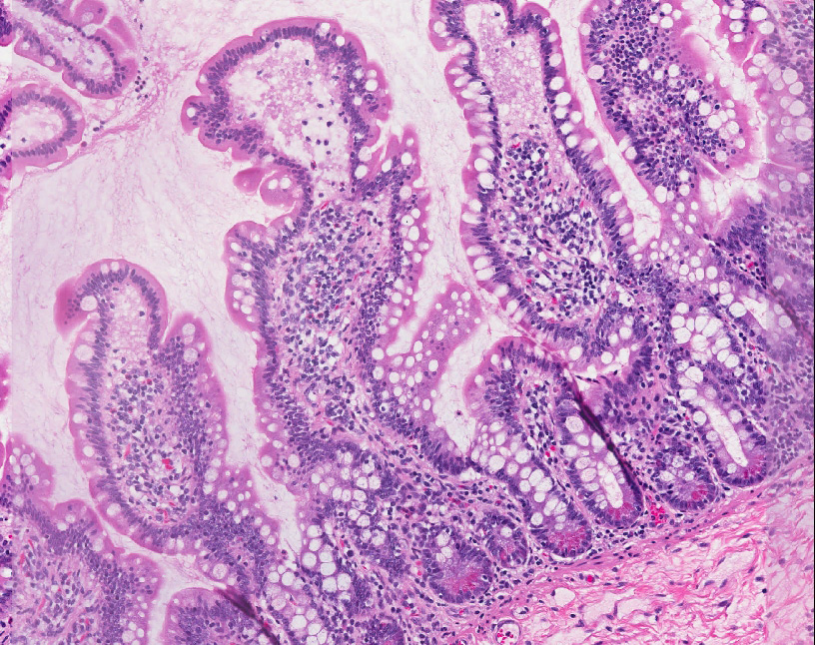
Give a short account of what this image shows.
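Small intestinal mucosa with long, finger-like villi projecting into the lumen and tubular crypts at the base. The villi are covered by a single layer of tall columnar enterocytes with elongated, basally placed purple nuclei and a thin pink luminal border. Numerous goblet cells with rounded, clear, pale apical cups are interspersed singly among them. The villous cores contain loose connective tissue packed with small round dark nuclei of inflammatory and stromal cells and scattered red blood cells. At the lower right, crypts rest on pink, fibrous tissue below the mucosa. Pale, wispy material lies in the lumen between villi.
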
